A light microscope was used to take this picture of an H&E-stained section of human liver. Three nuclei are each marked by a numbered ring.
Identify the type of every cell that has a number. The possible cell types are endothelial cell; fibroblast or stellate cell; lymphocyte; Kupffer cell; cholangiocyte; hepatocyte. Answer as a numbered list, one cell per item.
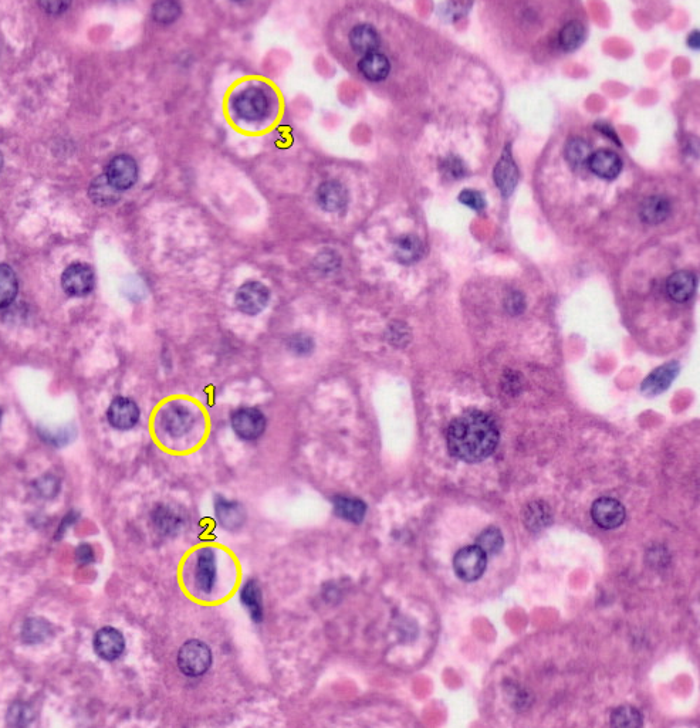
1. hepatocyte
2. fibroblast or stellate cell
3. hepatocyte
